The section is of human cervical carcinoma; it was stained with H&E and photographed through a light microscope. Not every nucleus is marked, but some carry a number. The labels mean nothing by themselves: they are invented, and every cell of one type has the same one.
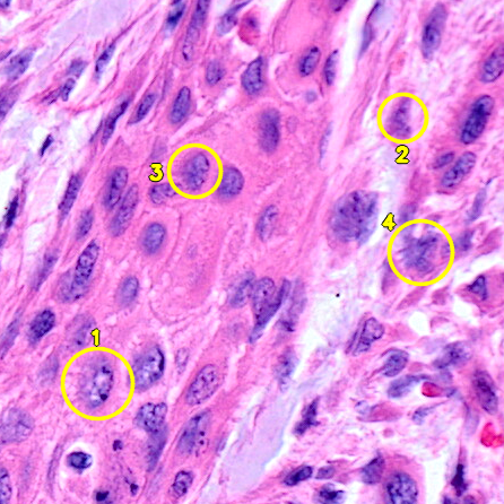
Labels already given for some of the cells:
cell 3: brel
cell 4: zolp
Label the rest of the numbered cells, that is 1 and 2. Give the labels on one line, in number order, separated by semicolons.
brel; zolp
